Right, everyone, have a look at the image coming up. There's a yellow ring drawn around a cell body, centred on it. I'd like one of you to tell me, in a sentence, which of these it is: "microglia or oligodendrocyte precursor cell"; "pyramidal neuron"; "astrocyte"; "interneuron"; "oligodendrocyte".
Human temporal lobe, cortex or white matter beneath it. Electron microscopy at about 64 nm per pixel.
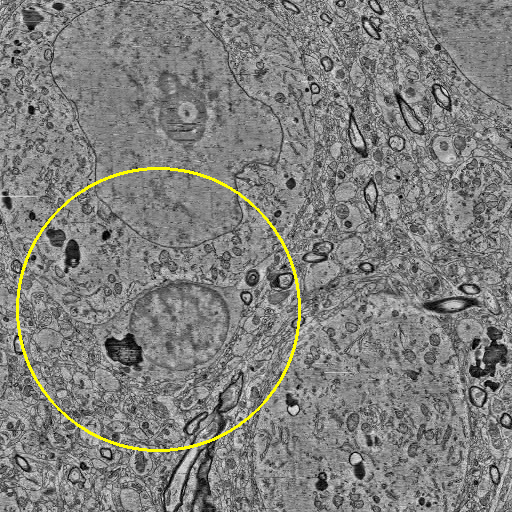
The yellow ring sits on an oligodendrocyte.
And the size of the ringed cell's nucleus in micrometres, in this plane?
Roughly 7 micrometres by 6 micrometres, in this plane.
